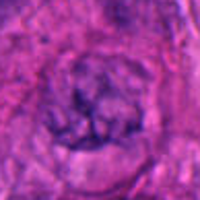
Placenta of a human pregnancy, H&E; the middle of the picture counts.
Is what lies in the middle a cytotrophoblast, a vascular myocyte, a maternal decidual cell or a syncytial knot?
It is a cytotrophoblast.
